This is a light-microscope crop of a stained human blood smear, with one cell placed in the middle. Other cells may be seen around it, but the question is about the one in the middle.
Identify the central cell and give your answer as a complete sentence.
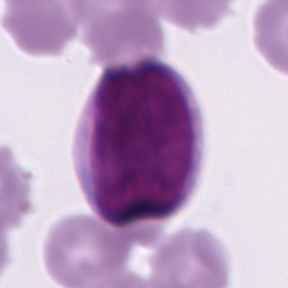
The centered cell in this crop is a myeloblast.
